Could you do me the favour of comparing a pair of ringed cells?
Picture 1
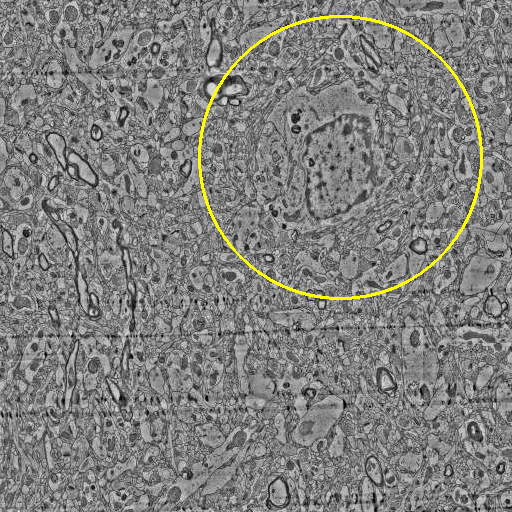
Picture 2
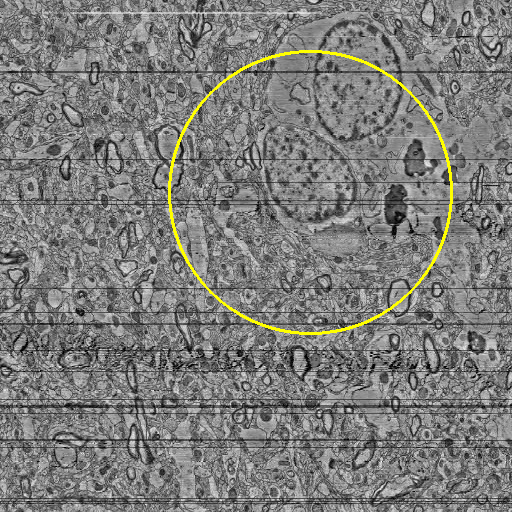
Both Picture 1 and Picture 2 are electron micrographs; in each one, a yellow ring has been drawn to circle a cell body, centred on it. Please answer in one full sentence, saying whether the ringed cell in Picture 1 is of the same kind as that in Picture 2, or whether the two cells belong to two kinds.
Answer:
The ringed cell in Picture 1 is of the same kind as that in Picture 2.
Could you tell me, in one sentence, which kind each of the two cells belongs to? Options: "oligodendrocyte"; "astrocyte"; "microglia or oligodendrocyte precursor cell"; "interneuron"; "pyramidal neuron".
The cell at the ring centre is a microglial cell or oligodendrocyte precursor cell in both pictures.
